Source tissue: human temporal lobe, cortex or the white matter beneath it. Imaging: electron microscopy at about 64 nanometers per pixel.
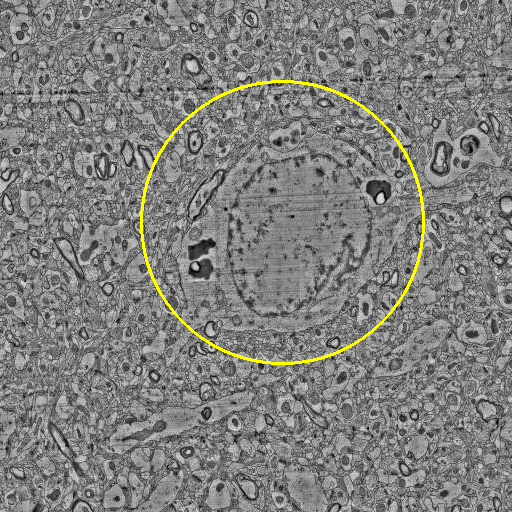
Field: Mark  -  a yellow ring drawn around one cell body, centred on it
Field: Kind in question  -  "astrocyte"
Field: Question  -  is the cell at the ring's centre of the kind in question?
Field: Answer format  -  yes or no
no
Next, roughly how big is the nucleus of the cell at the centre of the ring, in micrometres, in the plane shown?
In this plane the nucleus spans approximately 11 by 9 micrometers.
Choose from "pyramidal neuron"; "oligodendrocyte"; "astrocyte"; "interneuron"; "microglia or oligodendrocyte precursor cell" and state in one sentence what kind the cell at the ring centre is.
It is an interneuron that the ring is centred on.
